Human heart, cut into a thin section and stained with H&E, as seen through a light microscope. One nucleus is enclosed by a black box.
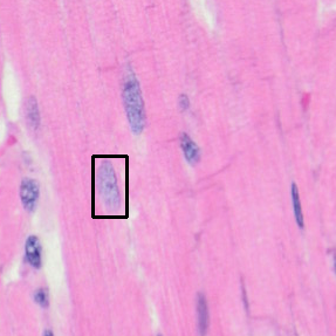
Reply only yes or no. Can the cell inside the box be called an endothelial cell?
no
